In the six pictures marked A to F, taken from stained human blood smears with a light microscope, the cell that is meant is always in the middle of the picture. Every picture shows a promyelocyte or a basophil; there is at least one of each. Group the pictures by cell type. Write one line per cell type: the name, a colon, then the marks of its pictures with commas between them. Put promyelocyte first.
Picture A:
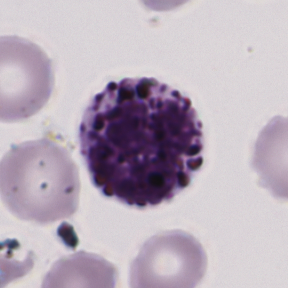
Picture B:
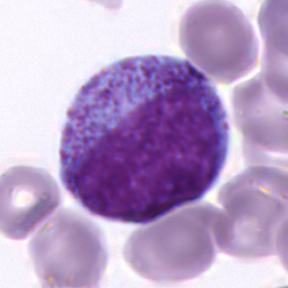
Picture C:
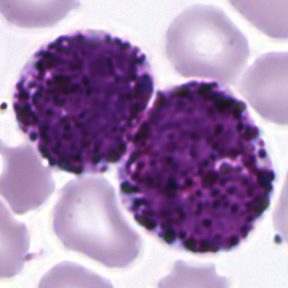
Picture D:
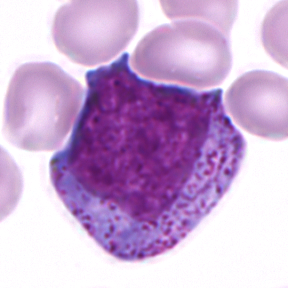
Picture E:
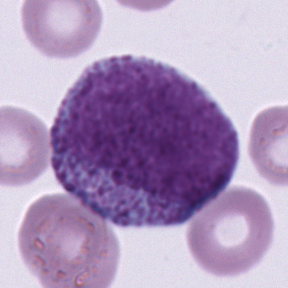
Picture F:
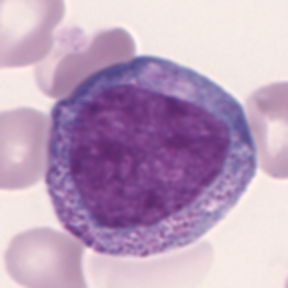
promyelocyte: B, D, E, F
basophil: A, C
